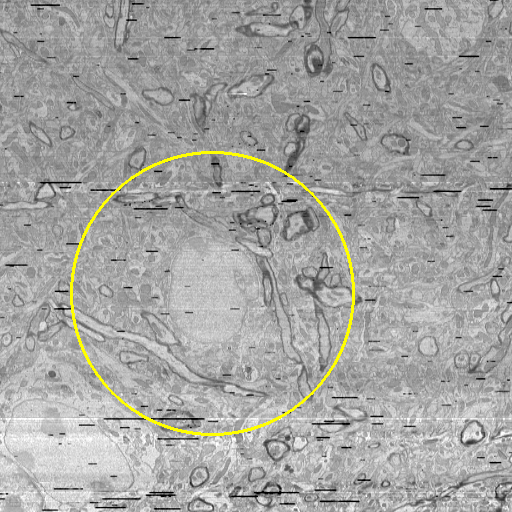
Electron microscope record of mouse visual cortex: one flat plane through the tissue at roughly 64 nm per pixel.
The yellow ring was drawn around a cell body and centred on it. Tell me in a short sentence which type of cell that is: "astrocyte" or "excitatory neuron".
The cell at the ring's centre is an astrocyte.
